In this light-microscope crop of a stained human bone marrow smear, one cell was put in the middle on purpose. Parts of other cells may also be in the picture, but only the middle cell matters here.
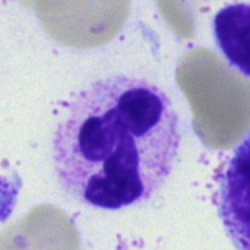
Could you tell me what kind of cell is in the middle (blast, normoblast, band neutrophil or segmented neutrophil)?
segmented neutrophil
